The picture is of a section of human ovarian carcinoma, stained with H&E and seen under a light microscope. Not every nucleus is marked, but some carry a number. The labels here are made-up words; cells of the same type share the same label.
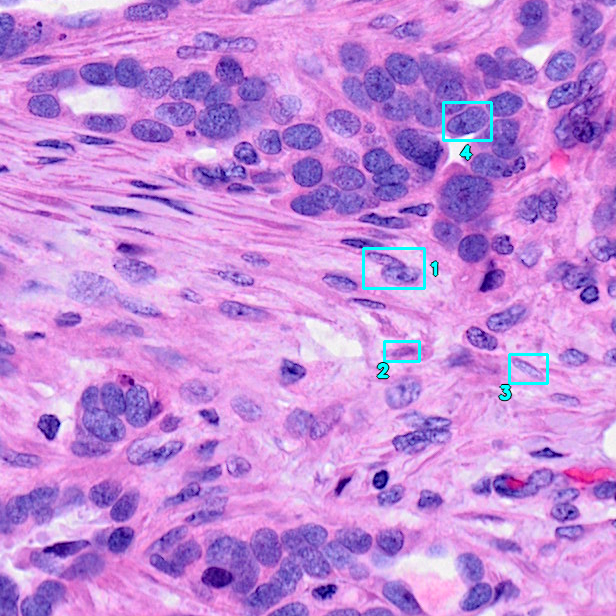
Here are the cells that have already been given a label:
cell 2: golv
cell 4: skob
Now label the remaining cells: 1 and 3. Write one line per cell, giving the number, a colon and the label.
1: golv
3: golv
